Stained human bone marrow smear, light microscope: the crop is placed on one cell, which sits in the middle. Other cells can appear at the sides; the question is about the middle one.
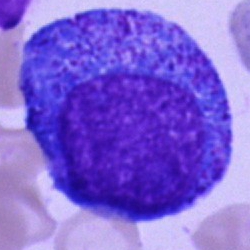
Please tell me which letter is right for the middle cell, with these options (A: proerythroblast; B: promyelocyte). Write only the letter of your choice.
B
